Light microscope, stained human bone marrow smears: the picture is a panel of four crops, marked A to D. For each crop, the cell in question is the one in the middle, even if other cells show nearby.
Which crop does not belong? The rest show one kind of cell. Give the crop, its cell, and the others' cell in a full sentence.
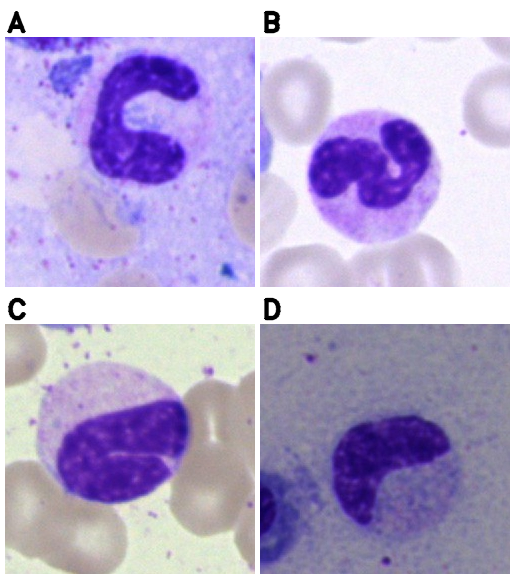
Crop B does not fit, being a segmented neutrophil where all the others show band neutrophils.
